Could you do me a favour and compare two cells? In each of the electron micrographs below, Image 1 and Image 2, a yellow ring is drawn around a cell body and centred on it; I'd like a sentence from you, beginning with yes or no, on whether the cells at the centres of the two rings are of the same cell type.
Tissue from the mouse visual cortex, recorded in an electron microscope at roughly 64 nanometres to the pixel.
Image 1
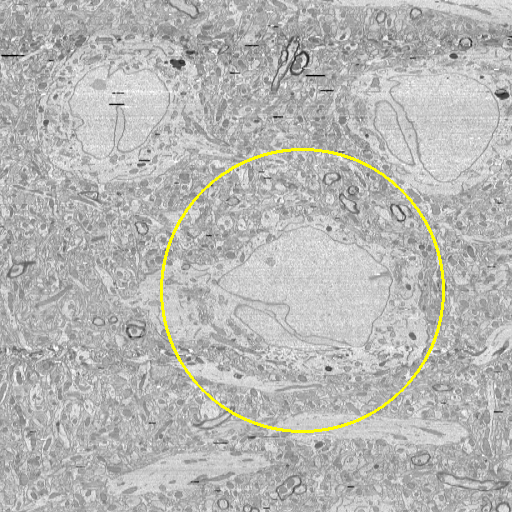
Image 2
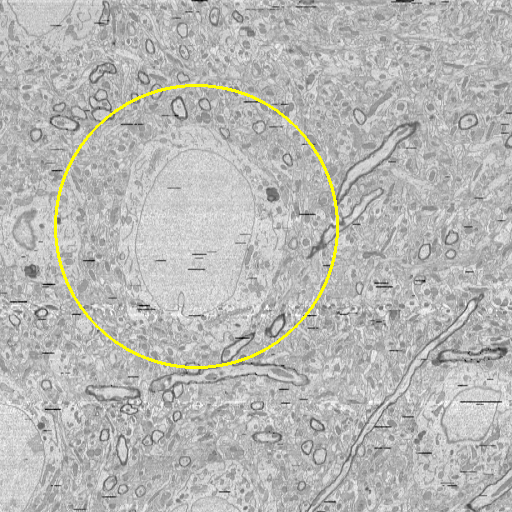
Yes, the two cells are of the same cell type.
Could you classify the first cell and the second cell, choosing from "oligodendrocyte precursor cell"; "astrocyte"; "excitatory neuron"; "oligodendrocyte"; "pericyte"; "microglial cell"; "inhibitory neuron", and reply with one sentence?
In the first picture and in the second, the ring is centred on an excitatory neuron.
